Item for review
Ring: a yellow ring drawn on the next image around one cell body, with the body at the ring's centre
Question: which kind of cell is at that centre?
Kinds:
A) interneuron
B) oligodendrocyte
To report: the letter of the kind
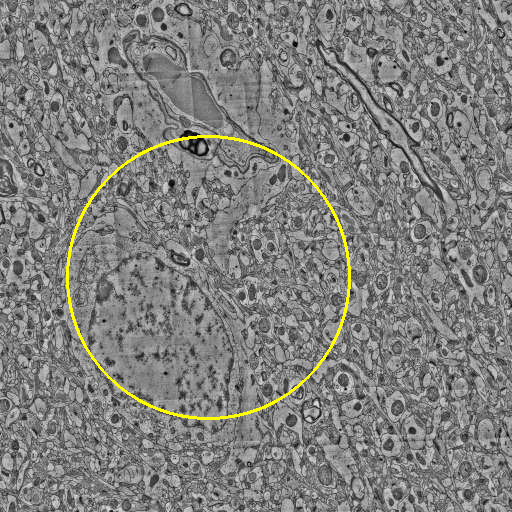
B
